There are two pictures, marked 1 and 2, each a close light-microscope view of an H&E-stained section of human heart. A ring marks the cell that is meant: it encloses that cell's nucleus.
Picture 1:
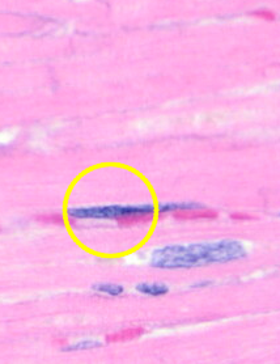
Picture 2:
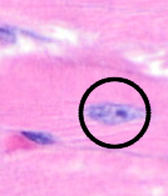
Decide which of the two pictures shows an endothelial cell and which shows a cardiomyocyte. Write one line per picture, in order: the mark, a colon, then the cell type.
1: endothelial cell
2: cardiomyocyte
